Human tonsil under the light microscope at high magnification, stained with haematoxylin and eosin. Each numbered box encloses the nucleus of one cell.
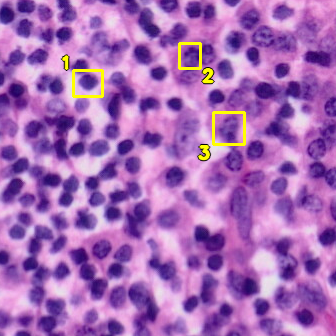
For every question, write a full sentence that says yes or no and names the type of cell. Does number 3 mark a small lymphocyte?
No, cell 3 is not a small lymphocyte, but is instead a plasma cell.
